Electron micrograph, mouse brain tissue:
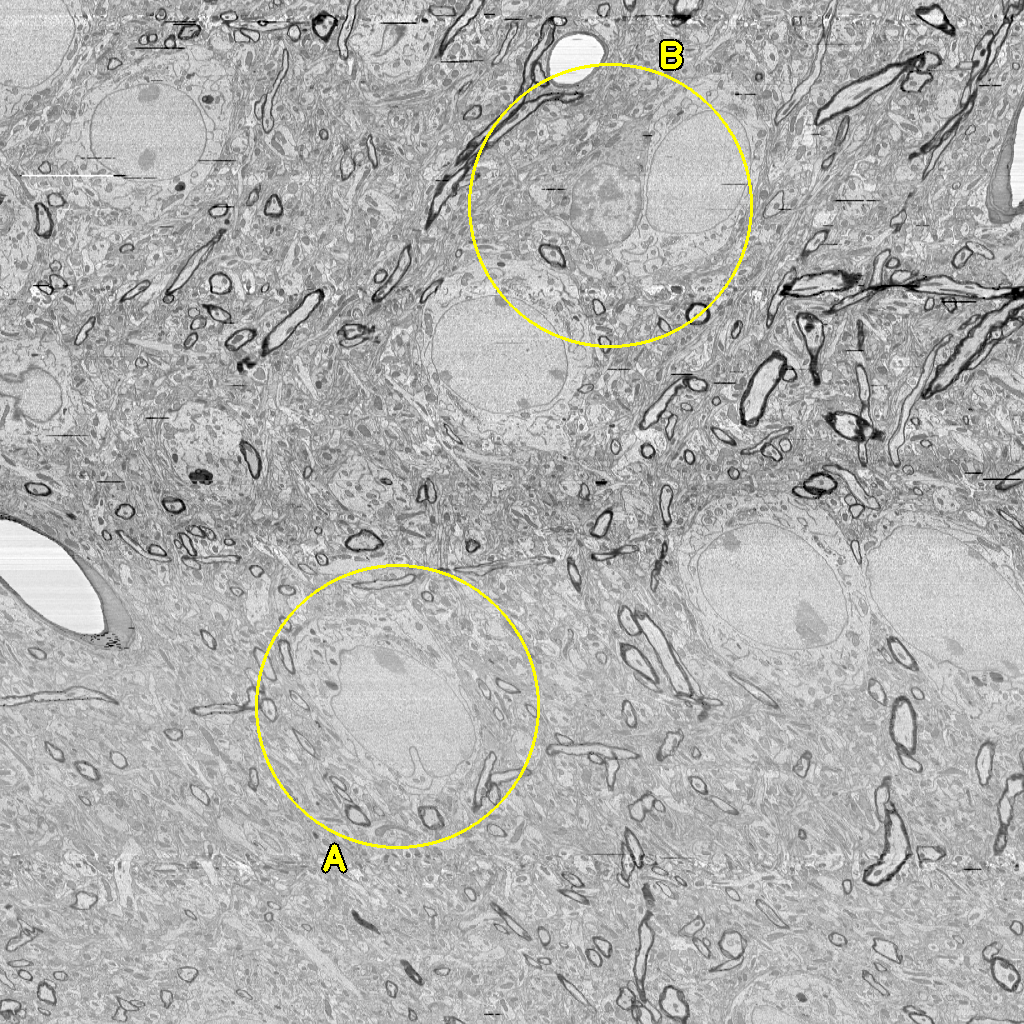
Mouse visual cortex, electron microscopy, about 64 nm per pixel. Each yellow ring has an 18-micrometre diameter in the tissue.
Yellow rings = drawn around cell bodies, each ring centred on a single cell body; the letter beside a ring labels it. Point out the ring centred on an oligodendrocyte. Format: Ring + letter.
Ring B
